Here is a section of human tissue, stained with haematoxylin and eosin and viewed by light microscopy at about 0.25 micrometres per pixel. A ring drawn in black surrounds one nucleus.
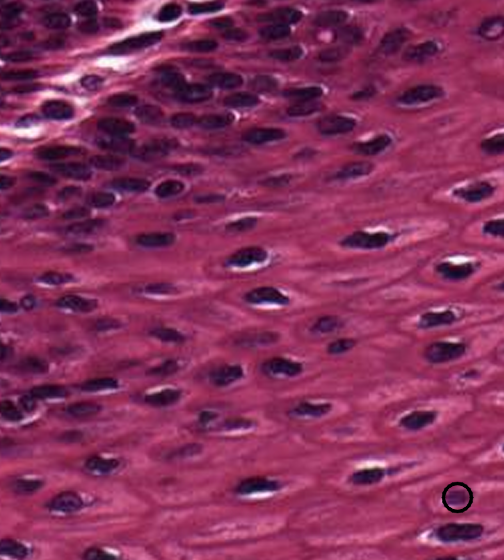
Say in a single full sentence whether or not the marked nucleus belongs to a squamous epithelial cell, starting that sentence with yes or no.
Yes, the marked nucleus is one belonging to a squamous epithelial cell.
